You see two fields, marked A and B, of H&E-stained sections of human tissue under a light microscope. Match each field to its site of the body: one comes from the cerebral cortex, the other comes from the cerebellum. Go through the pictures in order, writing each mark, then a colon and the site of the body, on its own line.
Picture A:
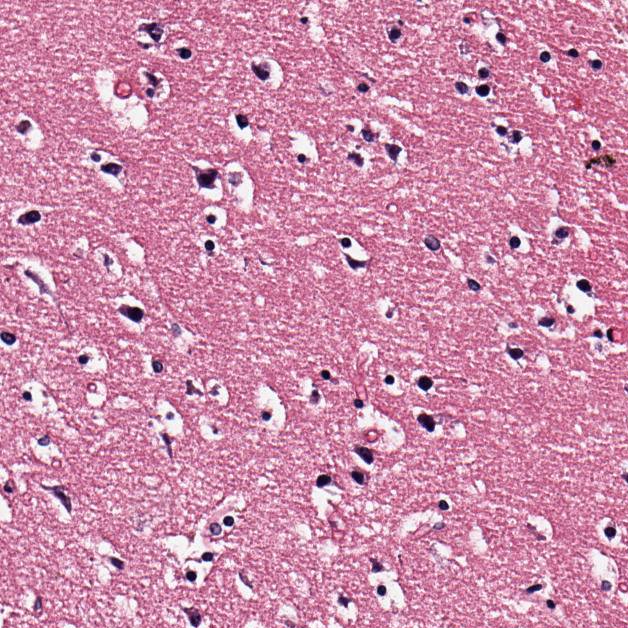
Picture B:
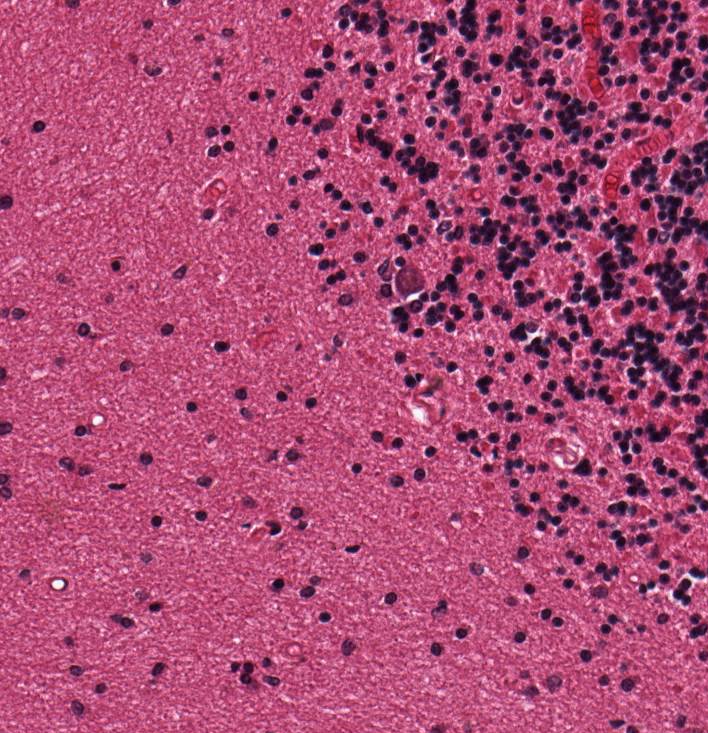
A: cerebral cortex
B: cerebellum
